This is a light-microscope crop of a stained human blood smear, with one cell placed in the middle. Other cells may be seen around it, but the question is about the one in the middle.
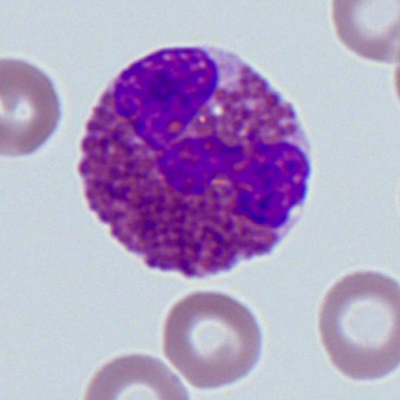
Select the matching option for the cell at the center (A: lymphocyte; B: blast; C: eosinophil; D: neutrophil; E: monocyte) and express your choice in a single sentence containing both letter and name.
The cell centered in the crop is an eosinophil, making option C the correct pick.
